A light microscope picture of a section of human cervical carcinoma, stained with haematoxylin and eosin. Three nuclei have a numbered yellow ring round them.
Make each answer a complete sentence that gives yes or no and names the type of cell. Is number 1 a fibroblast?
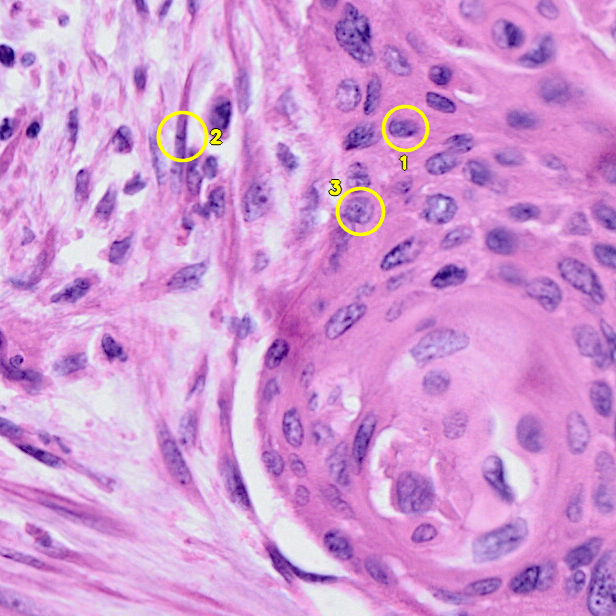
No, number 1 is not a fibroblast but a squamous carcinoma cell.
